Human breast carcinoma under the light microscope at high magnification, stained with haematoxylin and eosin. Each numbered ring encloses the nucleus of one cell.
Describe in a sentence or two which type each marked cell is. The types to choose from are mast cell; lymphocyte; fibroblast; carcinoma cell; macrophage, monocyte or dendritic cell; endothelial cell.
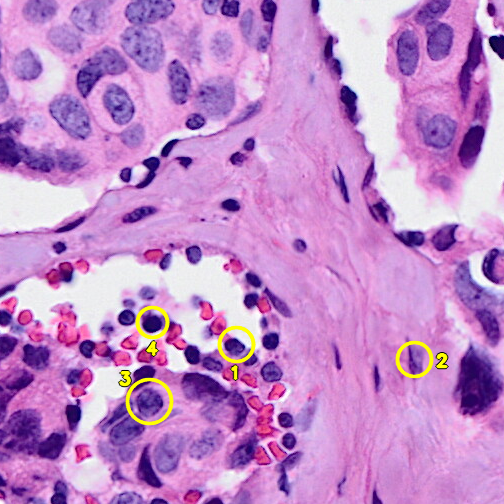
Cell 1 is a lymphocyte, cell 2 is a fibroblast, cell 3 is a carcinoma cell and cell 4 is a lymphocyte.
